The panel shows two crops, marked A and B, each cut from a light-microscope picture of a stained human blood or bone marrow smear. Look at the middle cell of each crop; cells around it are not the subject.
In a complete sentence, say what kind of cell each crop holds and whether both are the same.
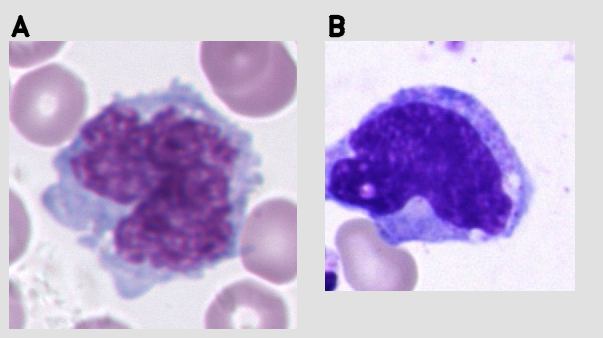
Yes, monocytes are what the two crops show.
